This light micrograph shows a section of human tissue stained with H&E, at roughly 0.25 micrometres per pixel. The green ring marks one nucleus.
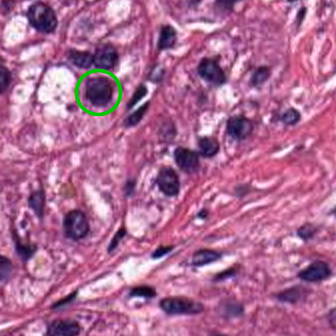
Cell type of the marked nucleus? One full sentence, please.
In this picture, the marked nucleus belongs to an adrenal cortical cell.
